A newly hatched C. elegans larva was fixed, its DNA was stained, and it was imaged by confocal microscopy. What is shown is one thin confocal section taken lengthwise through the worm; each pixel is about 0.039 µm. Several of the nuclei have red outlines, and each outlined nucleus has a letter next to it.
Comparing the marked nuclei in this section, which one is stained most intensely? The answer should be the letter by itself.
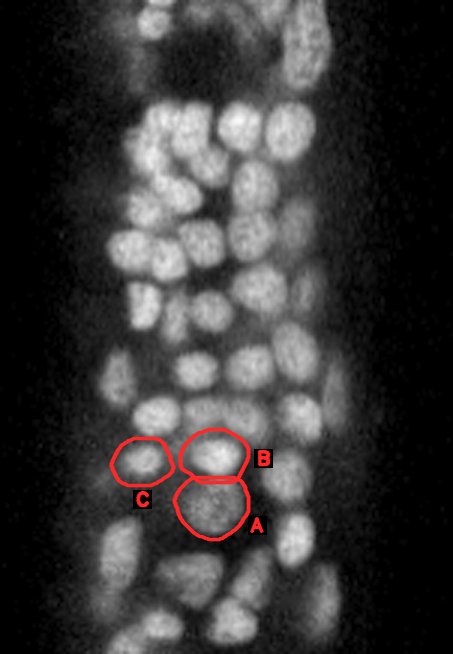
B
